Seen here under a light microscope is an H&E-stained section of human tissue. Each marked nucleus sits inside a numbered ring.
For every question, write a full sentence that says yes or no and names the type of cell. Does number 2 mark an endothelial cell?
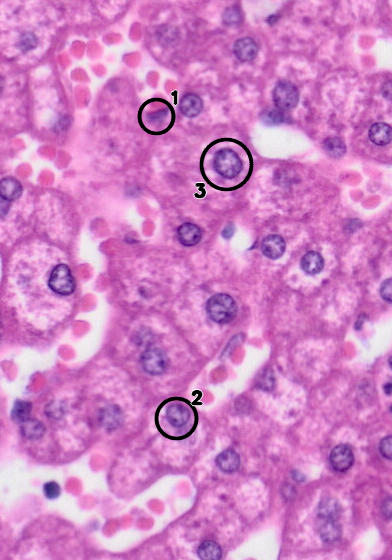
No, it is a hepatocyte, not an endothelial cell, at number 2.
